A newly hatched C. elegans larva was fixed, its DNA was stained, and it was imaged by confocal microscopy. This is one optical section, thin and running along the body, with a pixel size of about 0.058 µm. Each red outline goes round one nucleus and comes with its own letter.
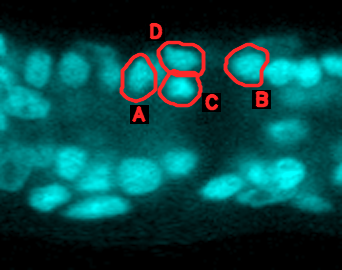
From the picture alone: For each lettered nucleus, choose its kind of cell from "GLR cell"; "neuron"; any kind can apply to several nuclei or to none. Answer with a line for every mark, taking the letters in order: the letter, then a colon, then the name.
A: neuron
B: neuron
C: GLR cell
D: neuron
